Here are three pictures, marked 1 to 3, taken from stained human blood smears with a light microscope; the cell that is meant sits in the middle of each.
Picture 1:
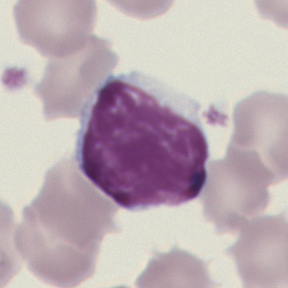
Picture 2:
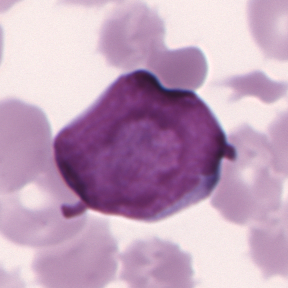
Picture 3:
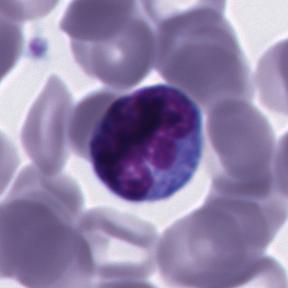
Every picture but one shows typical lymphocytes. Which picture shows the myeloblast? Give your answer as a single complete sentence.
Picture 2 shows the myeloblast.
